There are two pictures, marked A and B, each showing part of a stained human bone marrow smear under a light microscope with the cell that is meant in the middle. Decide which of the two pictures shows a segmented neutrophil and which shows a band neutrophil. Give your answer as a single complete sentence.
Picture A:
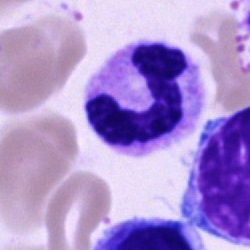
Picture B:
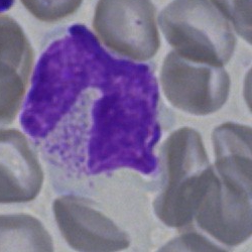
The cell in picture A is a segmented neutrophil, and the one in picture B is a band neutrophil.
